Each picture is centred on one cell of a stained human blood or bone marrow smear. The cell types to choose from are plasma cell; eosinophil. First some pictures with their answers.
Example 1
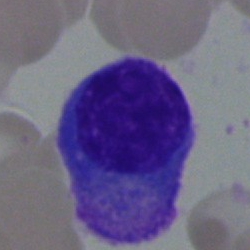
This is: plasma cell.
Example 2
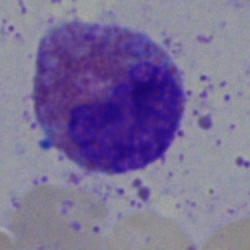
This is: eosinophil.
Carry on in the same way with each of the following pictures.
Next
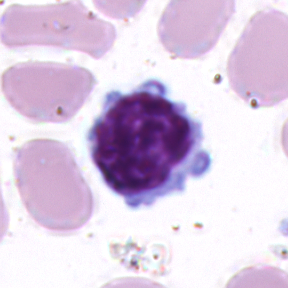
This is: plasma cell.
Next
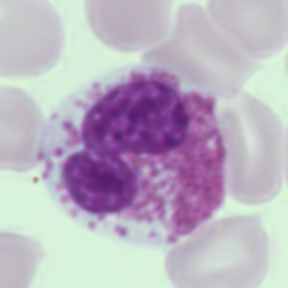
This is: eosinophil.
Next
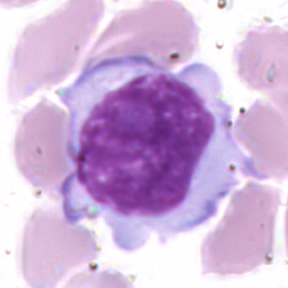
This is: plasma cell.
